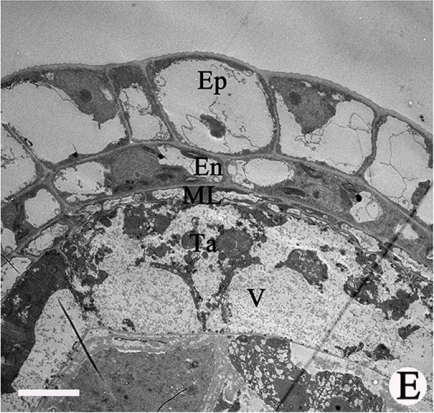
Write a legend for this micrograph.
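This electron micrograph shows the layered anther wall: epidermis, endothecium, middle layer and tapetum. The epidermis at the top consists of large, rounded cells that are mostly pale, with peripheral darker cytoplasm. The endothecium and middle layer beneath form narrower bands of smaller cells. The tapetum is extensively vacuolated: its cells are largely filled with pale regions, with dark cytoplasmic remnants scattered in between. Below it, darker irregular material fills the anther locule.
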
